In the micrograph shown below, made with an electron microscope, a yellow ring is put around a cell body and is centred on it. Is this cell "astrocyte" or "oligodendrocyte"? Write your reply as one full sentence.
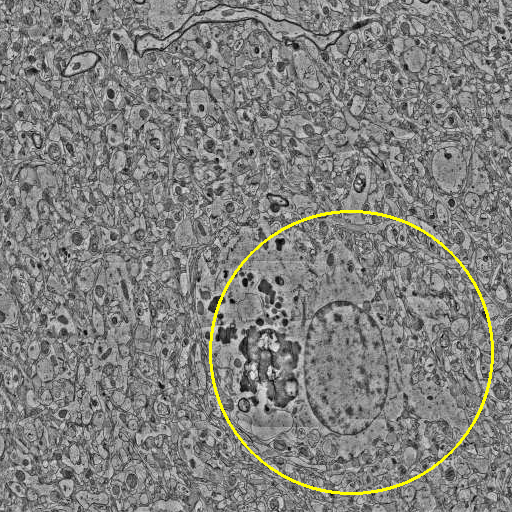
In the micrograph, an astrocyte is the cell at the centre of the yellow ring.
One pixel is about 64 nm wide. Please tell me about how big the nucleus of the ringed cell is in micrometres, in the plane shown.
In this plane, about 9 by 5 micrometres: the nucleus is clearly longer than it is wide.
